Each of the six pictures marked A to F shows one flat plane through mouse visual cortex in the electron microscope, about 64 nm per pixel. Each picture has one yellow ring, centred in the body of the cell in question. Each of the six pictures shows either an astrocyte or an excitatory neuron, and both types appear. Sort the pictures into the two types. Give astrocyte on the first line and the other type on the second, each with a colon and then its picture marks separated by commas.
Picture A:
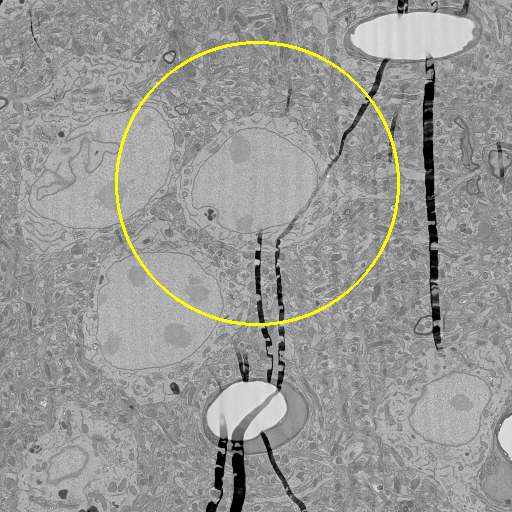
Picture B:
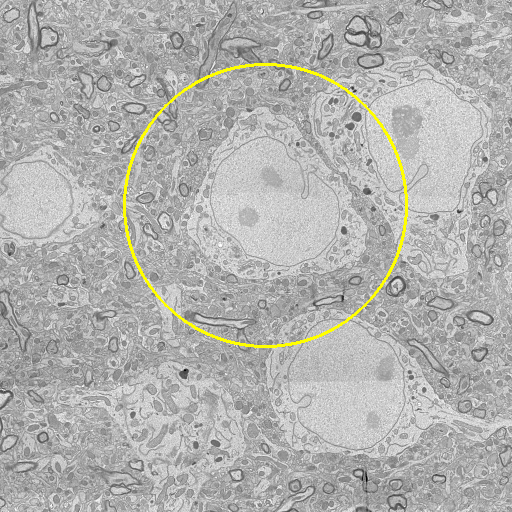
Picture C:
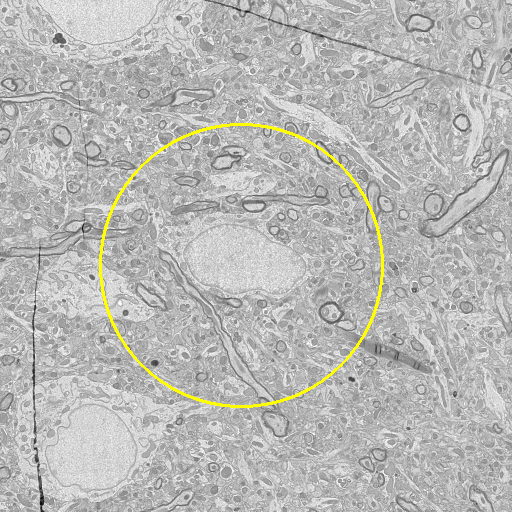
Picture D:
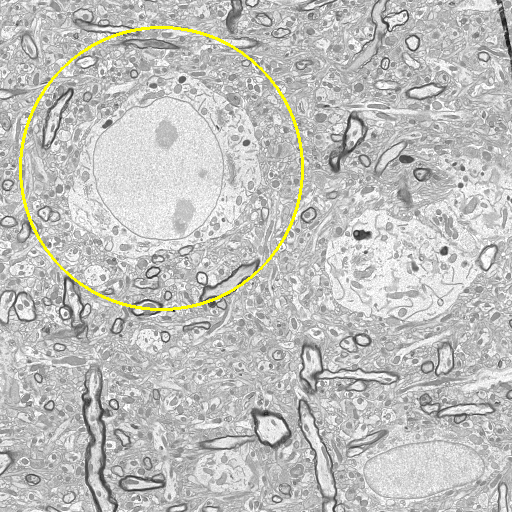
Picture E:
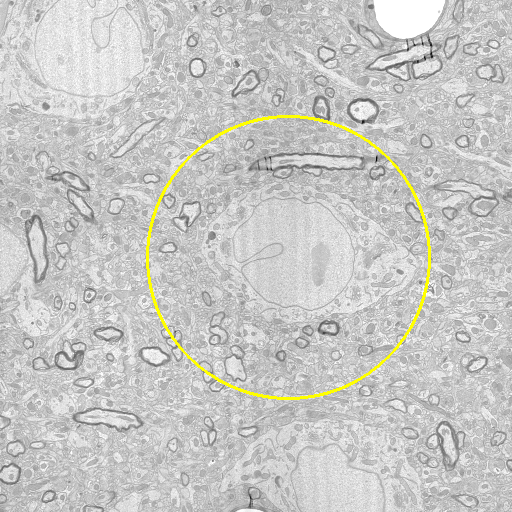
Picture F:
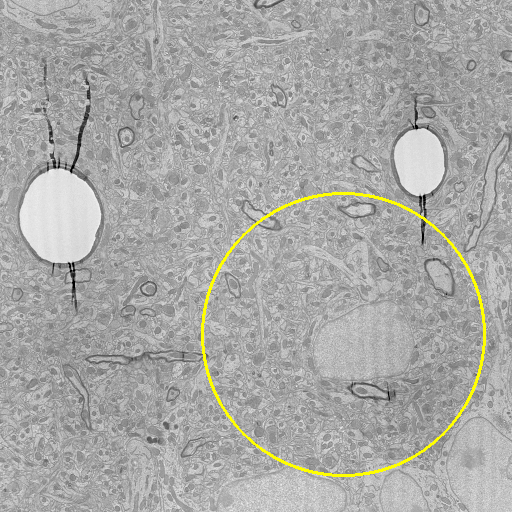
astrocyte: C, F
excitatory neuron: A, B, D, E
